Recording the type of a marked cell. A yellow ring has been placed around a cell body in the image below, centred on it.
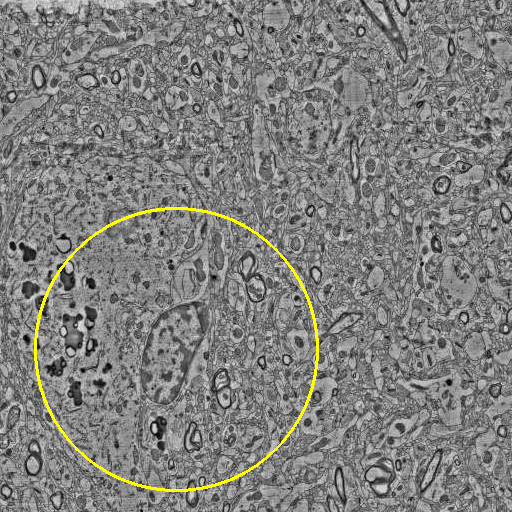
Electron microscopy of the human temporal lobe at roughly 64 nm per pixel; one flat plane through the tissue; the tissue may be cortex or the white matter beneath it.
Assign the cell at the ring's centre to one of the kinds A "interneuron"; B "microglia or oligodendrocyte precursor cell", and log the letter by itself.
B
